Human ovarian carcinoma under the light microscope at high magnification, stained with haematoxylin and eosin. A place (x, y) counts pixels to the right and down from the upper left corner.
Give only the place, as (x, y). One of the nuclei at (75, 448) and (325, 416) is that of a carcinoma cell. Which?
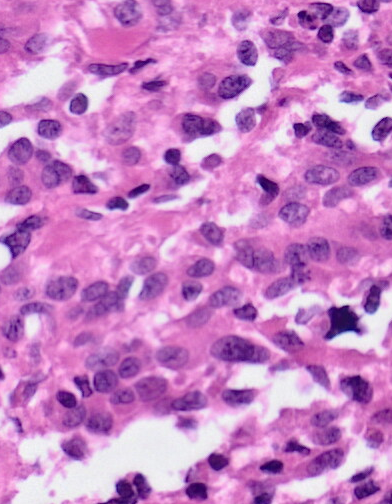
(75, 448)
